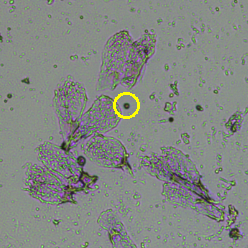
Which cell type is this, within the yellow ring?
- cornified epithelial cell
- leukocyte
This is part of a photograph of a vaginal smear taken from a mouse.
Within the ring is a leukocyte.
